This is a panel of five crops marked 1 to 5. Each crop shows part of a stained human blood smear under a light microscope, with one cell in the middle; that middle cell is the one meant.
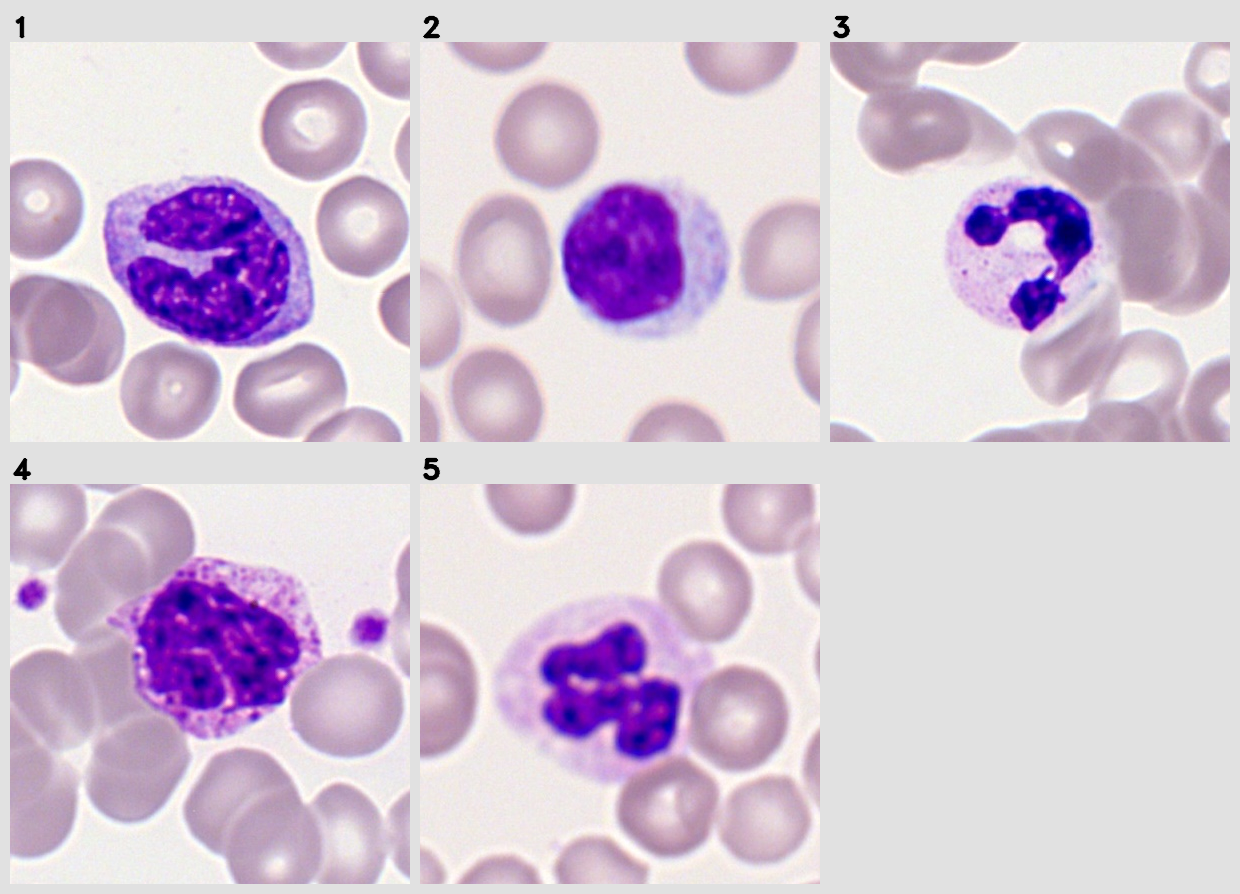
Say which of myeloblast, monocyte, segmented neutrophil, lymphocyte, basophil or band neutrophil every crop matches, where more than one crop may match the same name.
1: monocyte
2: lymphocyte
3: segmented neutrophil
4: basophil
5: segmented neutrophil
